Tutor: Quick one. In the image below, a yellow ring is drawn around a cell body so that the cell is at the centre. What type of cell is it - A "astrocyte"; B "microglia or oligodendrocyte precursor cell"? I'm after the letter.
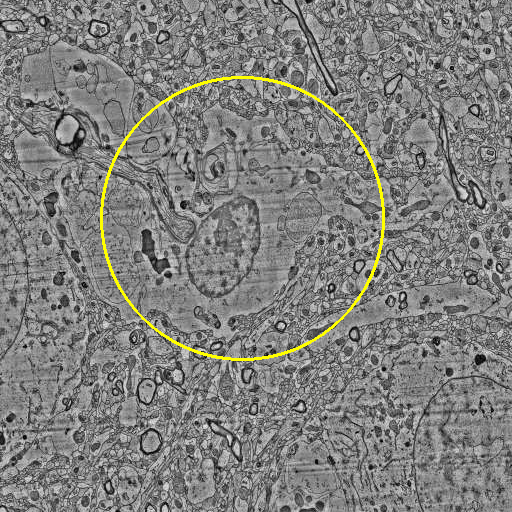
A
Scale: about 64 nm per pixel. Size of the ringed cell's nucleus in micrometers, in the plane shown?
Roughly 6 by 4 micrometres in this plane, for the nucleus of the ringed cell.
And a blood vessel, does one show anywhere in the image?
Yes, there is one.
